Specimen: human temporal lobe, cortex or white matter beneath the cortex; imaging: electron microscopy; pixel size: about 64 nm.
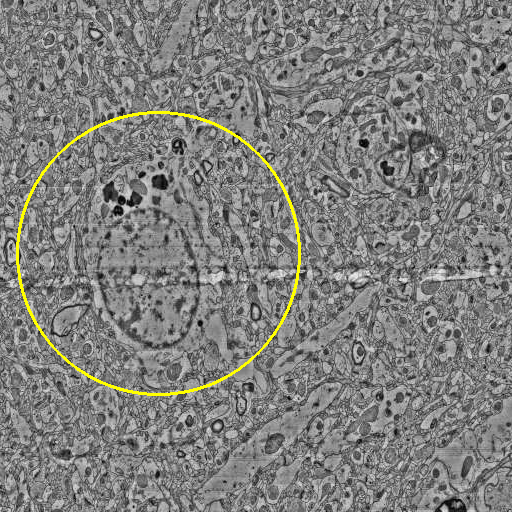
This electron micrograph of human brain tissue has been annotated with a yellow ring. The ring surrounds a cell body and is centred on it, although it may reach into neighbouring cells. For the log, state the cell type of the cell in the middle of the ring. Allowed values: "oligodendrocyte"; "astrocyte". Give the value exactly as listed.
astrocyte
